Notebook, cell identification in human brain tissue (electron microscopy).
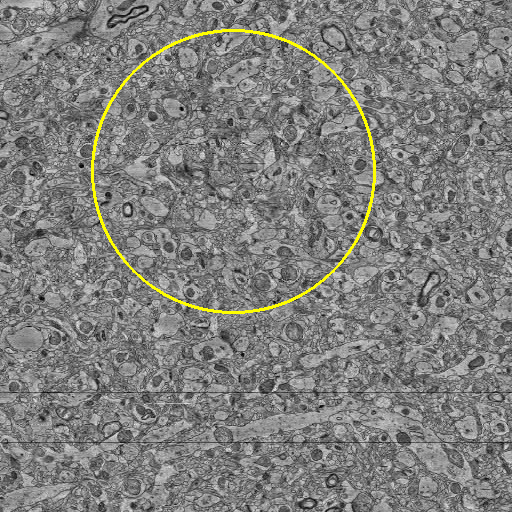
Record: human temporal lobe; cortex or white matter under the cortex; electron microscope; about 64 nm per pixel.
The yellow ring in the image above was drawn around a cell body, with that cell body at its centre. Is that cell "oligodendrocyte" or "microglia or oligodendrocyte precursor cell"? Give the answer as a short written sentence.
The cell in the ring is a microglial cell or oligodendrocyte precursor cell.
